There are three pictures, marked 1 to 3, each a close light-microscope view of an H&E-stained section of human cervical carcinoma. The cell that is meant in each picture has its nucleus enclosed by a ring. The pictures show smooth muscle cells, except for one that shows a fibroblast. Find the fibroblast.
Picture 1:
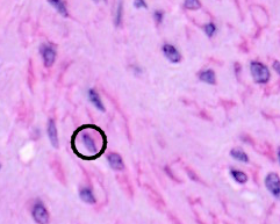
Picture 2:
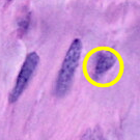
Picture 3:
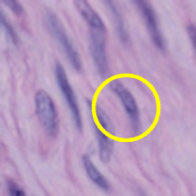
2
